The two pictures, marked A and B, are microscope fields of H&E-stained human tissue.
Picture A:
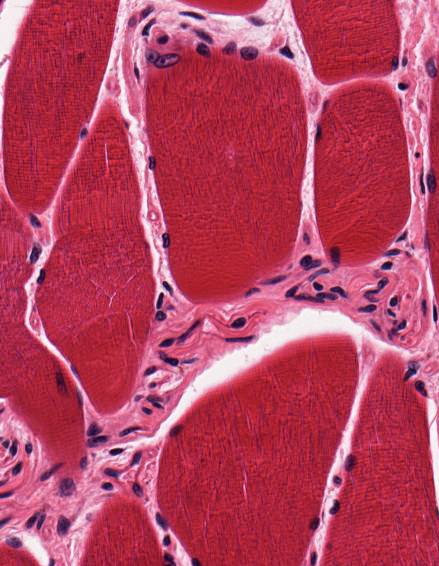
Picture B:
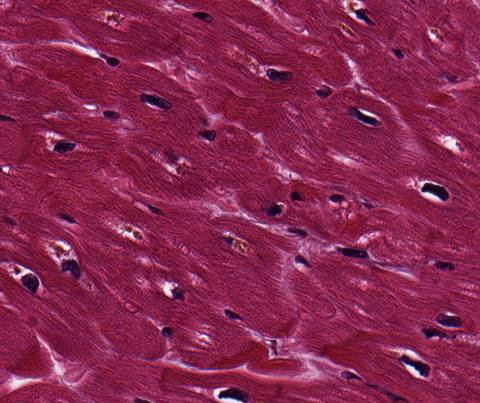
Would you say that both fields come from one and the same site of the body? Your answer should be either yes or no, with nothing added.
no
